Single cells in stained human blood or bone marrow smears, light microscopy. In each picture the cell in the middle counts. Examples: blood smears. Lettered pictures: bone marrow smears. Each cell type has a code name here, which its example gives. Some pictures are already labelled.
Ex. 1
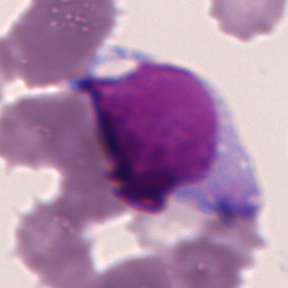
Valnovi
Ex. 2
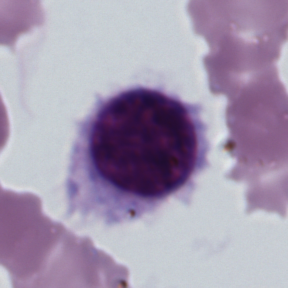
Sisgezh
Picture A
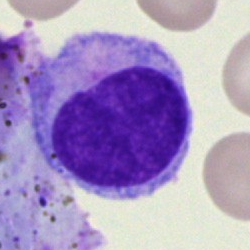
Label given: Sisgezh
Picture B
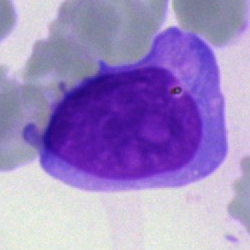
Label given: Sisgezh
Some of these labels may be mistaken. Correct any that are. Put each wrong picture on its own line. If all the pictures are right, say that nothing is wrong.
B: Valnovi, not Sisgezh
